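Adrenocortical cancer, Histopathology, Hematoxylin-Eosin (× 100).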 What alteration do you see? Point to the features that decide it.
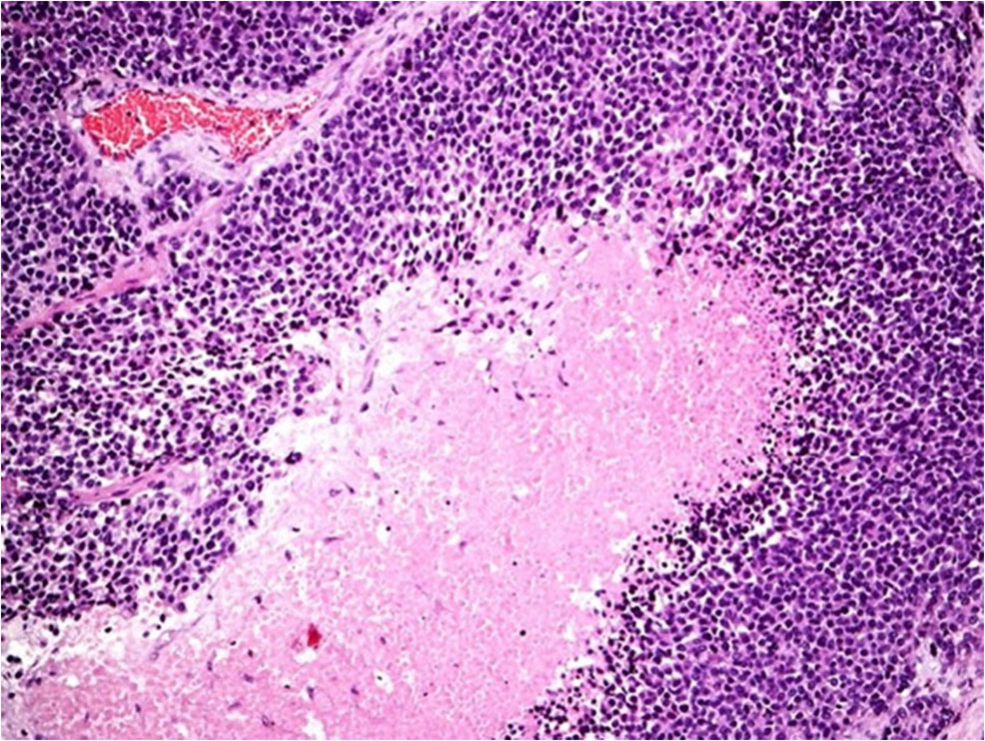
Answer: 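Confluenting tumor necrosis. A large central pale pink area without intact nuclei. Densely packed tumor cells with dark purple nuclei surround the pink area. Scattered dark nuclear debris lies at the edge of the pink zone.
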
